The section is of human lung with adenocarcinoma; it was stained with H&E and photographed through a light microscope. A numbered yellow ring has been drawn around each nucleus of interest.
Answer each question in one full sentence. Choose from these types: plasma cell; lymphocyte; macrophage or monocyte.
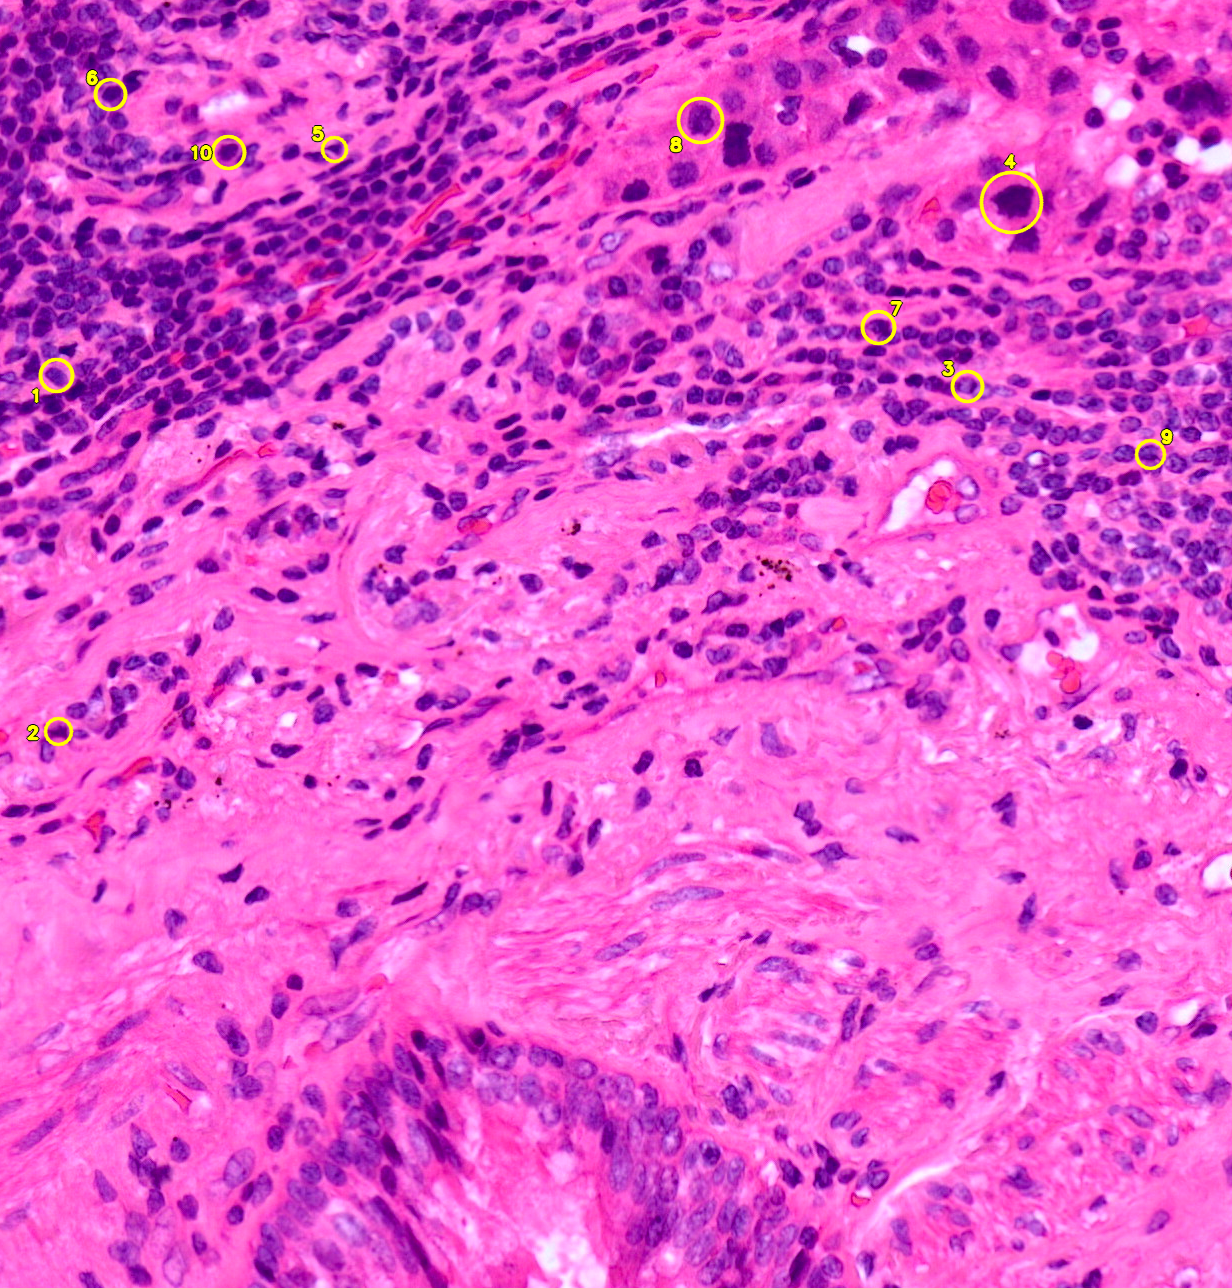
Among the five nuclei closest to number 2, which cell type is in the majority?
Most of the five nuclei nearest to number 2 are those of lymphocytes.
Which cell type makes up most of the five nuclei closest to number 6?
The majority of the five nuclei closest to number 6 belong to lymphocytes.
